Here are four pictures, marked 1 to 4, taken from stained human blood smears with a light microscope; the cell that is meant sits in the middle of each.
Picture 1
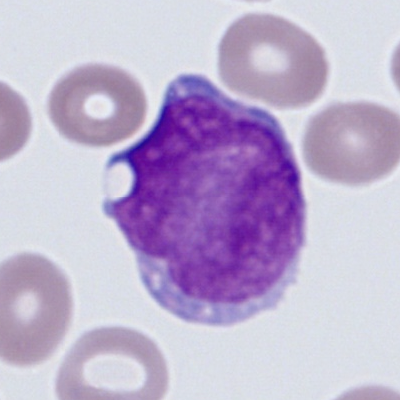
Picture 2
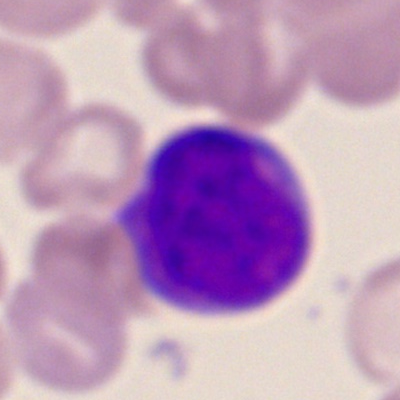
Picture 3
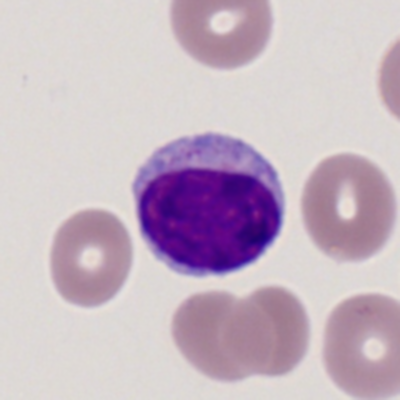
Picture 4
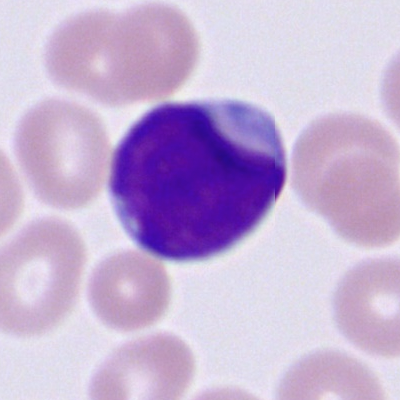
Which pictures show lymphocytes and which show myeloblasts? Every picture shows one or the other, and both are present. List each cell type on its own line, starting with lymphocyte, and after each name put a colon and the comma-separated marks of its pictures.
lymphocyte: 3
myeloblast: 1, 2, 4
